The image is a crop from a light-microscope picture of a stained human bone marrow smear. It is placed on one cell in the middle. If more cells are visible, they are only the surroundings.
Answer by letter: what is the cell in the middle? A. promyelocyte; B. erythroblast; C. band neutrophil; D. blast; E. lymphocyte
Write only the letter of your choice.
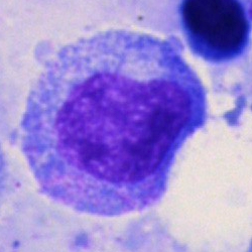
A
